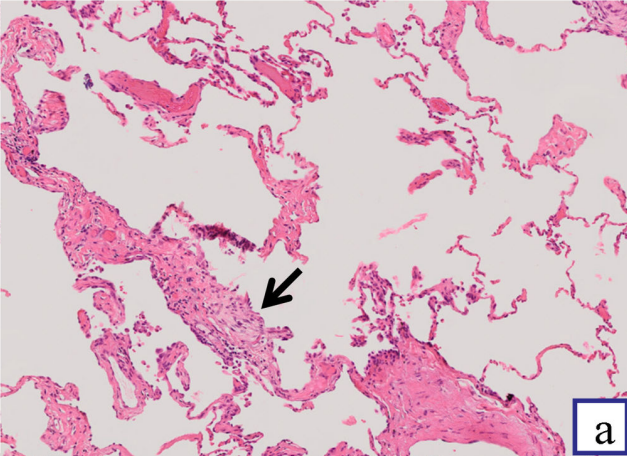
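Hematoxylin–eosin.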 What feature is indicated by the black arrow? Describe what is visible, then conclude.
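Fibroblastic foci. A small pale patch of spindle-shaped cells lies within a thickened septum. Most surrounding alveolar walls are thin.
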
